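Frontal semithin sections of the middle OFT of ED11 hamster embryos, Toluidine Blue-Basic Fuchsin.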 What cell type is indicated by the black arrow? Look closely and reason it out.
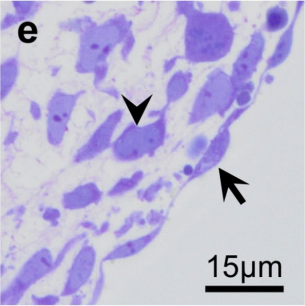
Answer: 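Endothelial cells. The marked cell is thin and flat. It forms a single-cell lining along the free edge bordering clear space.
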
